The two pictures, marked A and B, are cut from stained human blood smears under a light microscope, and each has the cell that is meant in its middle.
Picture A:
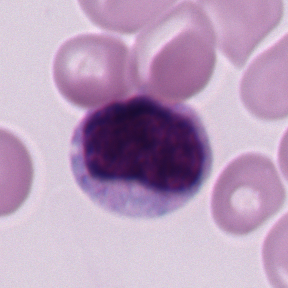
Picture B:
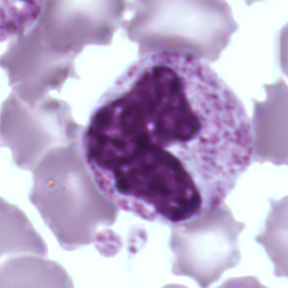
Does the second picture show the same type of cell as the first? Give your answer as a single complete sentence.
No; the cell in picture A is a metamyelocyte, while the one in picture B is a band neutrophil.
